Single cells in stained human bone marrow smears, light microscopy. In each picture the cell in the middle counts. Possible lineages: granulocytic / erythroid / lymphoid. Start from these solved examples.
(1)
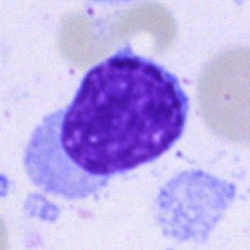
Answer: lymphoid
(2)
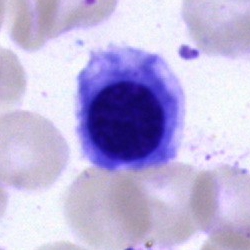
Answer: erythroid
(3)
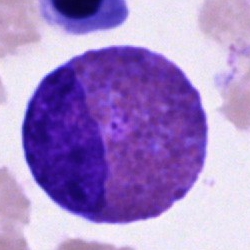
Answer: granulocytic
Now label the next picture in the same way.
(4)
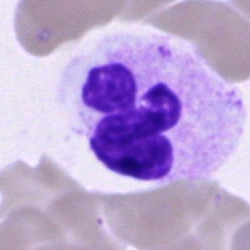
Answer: granulocytic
